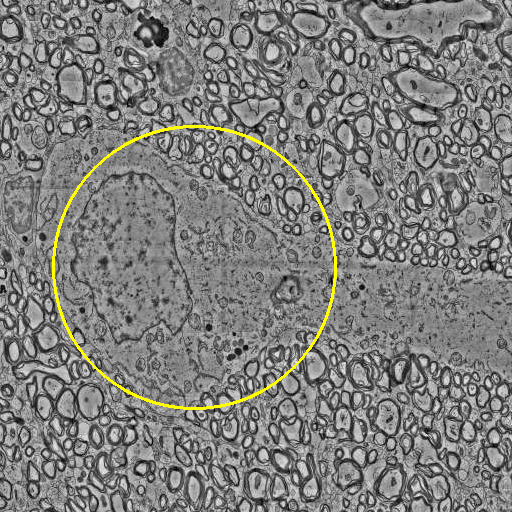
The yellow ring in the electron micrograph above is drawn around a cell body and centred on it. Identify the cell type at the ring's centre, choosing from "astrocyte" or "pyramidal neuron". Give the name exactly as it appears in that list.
pyramidal neuron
